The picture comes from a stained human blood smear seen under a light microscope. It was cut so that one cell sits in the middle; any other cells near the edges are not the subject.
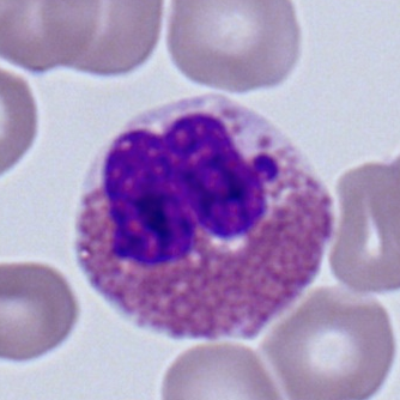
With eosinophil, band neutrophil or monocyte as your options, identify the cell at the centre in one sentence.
The cell occupying the middle of the crop is an eosinophil.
